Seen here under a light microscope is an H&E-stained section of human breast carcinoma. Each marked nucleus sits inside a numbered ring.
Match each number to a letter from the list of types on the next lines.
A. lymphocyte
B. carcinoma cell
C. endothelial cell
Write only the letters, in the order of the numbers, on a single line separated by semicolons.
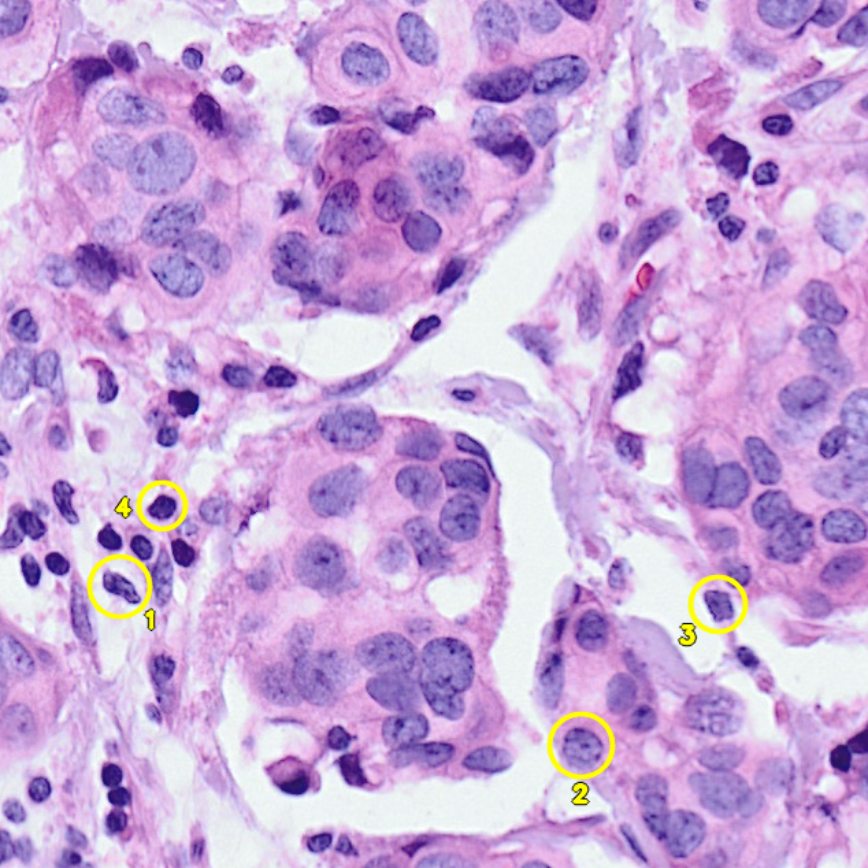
A; B; A; A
